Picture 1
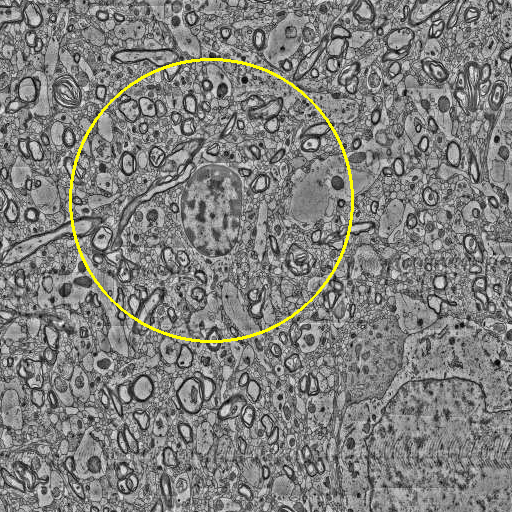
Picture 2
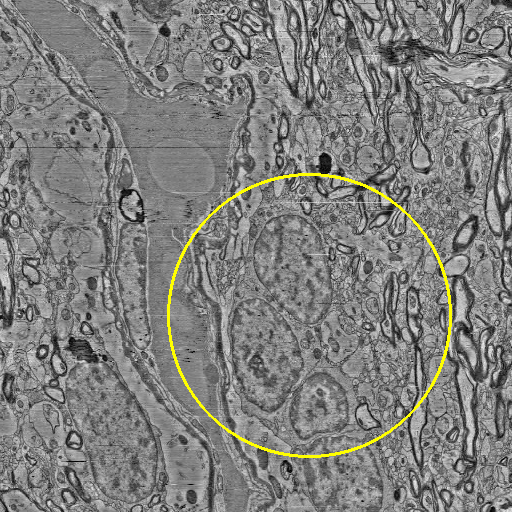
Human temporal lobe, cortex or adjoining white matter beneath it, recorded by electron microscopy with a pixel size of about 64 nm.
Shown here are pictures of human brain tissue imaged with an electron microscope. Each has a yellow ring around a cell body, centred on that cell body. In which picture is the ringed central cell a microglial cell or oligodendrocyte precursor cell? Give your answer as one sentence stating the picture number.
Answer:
My answer is picture 1, where the ringed cell at the centre is the one sought.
